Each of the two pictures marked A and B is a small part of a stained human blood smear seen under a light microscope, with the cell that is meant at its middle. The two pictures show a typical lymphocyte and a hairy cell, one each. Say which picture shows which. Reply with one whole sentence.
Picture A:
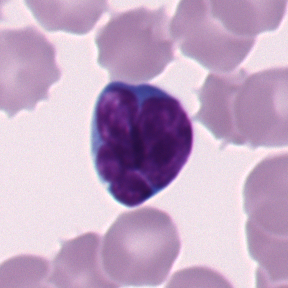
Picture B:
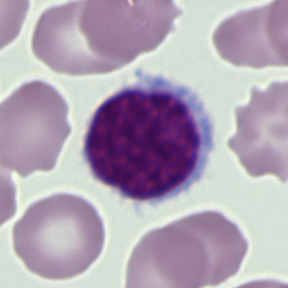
Picture B shows a hairy cell, while picture A shows a typical lymphocyte.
